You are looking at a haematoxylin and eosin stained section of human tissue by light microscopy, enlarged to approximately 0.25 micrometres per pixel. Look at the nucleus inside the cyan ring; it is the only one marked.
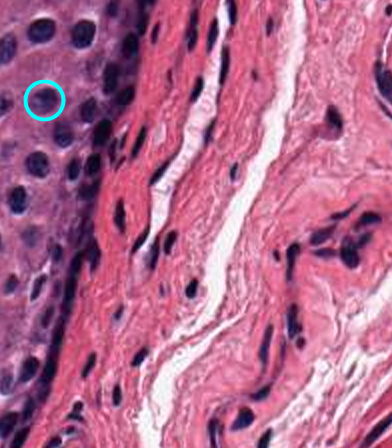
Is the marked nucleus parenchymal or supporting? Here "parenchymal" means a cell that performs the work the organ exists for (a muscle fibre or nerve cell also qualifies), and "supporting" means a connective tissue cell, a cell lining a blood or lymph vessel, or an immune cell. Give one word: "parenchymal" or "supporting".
parenchymal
